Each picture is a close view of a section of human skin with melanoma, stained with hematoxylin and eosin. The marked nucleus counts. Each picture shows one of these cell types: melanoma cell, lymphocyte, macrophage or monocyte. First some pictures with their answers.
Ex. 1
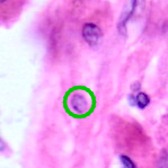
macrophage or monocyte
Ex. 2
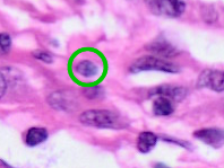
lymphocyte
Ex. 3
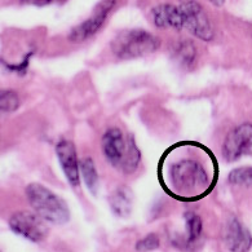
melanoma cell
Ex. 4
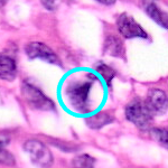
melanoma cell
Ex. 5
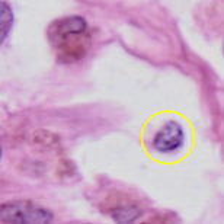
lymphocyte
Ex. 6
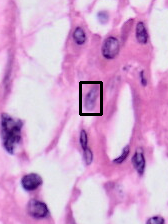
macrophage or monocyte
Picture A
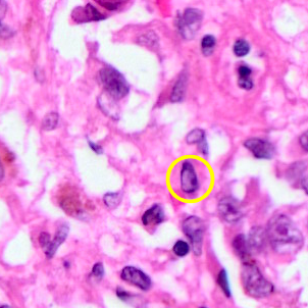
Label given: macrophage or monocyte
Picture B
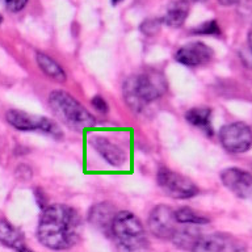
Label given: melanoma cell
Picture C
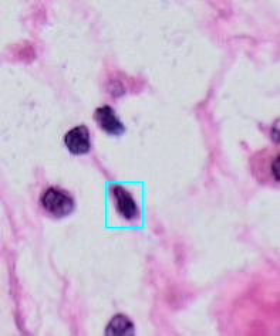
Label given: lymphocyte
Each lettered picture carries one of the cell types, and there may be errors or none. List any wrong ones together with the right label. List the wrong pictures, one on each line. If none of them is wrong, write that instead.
All labels are correct.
